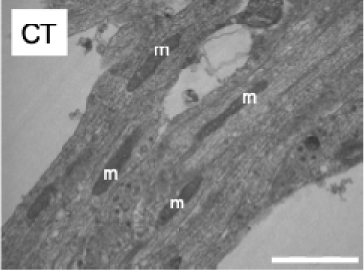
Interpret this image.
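The mitochondria are slender, dark and rod-like and run parallel to the long axis of the cell, in line with fine filamentous bundles. The cytoplasm shows a fibrillar texture and scattered small dense granules.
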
